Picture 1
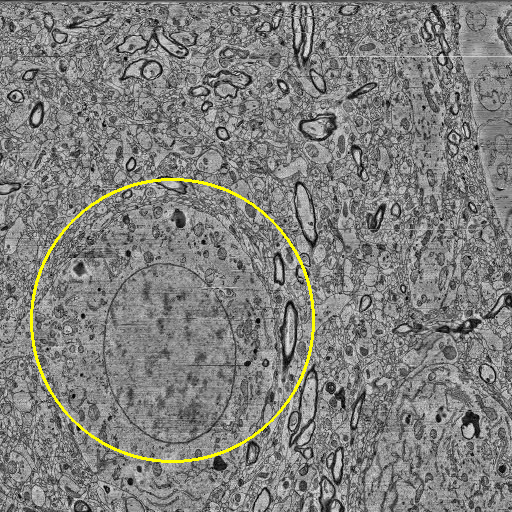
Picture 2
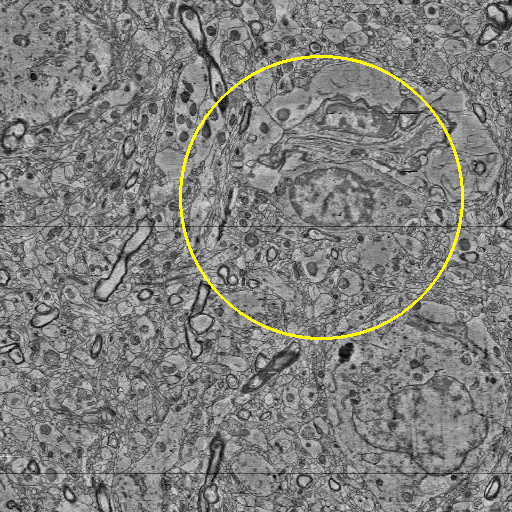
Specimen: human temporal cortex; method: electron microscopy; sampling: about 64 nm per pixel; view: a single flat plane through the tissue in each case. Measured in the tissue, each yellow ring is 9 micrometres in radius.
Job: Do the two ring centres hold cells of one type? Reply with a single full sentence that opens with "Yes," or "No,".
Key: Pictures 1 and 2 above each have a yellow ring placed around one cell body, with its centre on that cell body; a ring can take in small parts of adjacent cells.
No, the cells at the two ring centres are of two separate types.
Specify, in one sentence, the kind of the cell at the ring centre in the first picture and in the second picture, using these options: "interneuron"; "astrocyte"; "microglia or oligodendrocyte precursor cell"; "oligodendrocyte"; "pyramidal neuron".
So the first is a pyramidal neuron, the second an oligodendrocyte.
